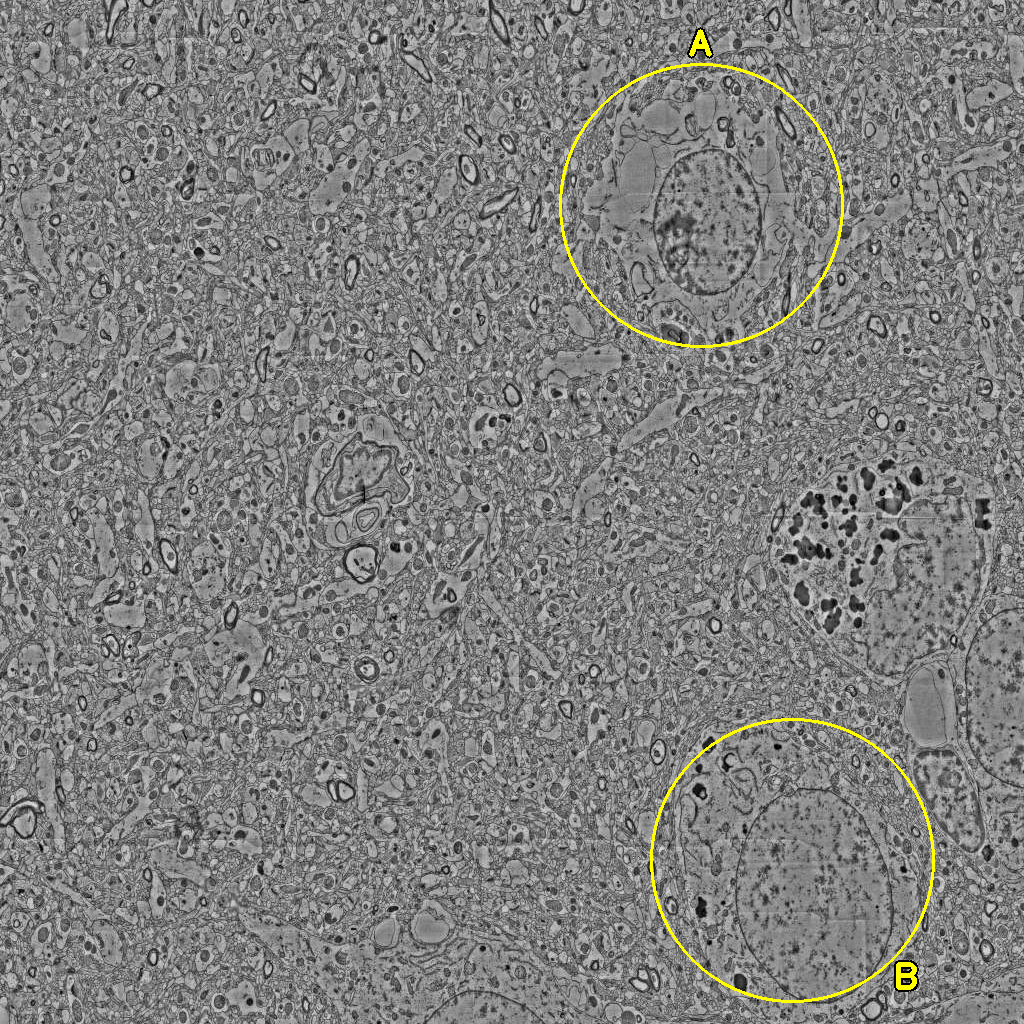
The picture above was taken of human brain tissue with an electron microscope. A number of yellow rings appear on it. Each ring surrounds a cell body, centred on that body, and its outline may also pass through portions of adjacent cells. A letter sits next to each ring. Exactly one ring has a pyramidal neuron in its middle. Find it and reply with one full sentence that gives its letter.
Letter B labels the ring whose centre falls on a cell of that kind.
